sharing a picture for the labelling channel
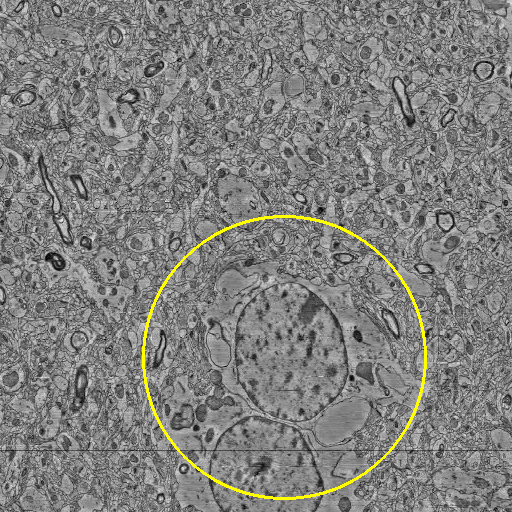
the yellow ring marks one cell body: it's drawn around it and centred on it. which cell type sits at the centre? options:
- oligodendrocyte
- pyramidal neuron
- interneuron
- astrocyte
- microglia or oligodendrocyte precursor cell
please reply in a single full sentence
In the picture, the cell at the ring's centre is an astrocyte, going by the list.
